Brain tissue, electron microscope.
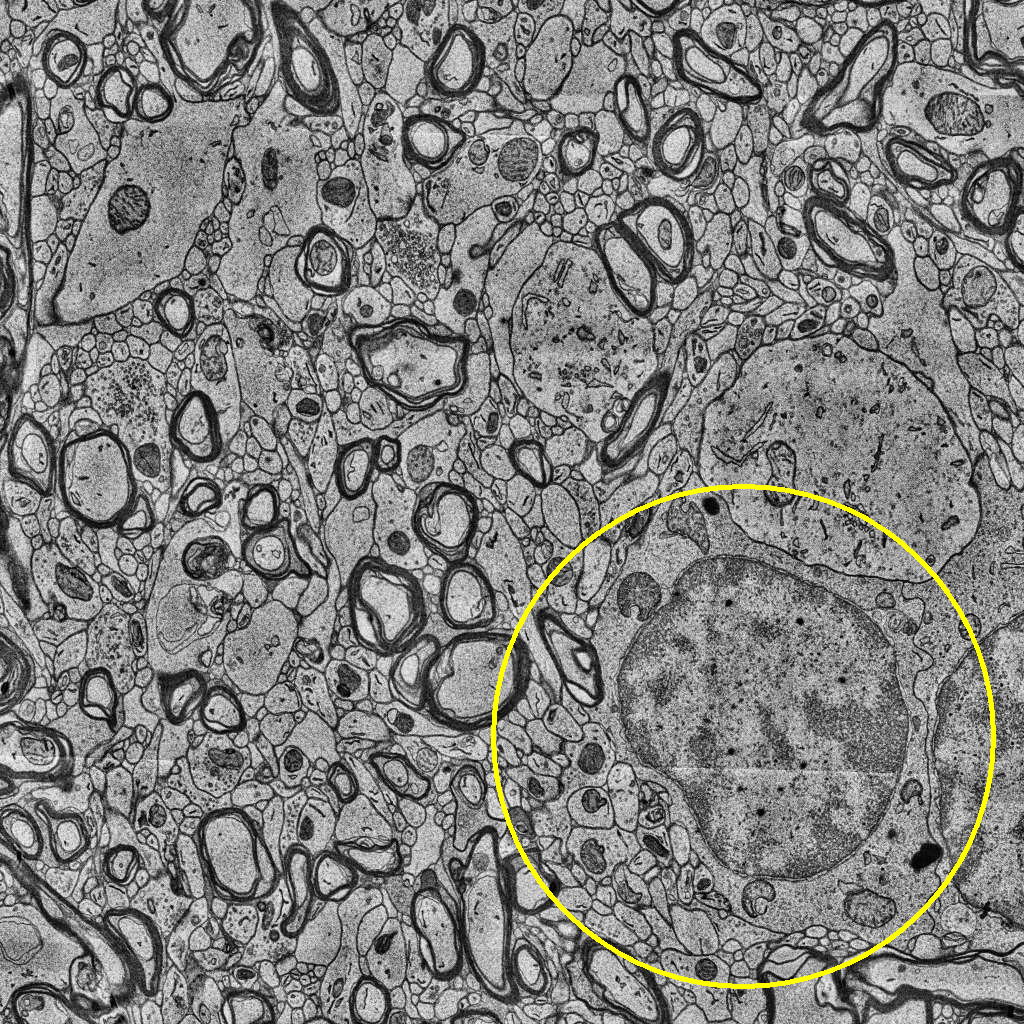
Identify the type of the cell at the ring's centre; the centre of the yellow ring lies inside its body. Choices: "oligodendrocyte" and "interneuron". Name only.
oligodendrocyte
